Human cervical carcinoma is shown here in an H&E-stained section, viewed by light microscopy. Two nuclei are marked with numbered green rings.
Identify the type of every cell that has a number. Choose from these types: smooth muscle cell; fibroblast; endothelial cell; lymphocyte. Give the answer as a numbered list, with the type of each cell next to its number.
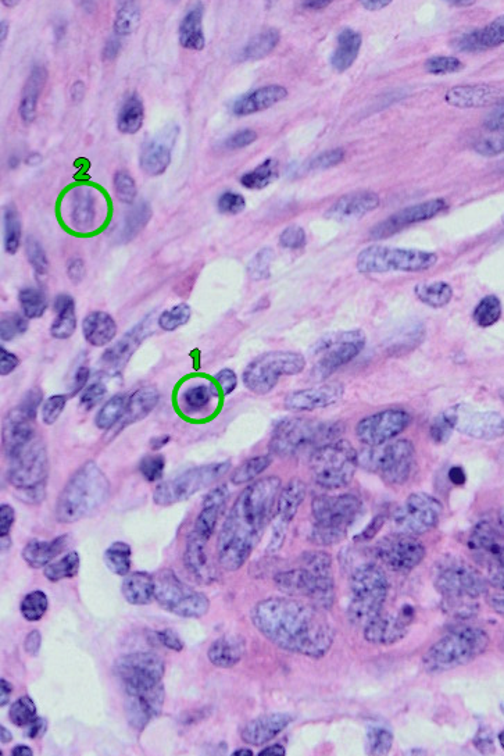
1. lymphocyte
2. smooth muscle cell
